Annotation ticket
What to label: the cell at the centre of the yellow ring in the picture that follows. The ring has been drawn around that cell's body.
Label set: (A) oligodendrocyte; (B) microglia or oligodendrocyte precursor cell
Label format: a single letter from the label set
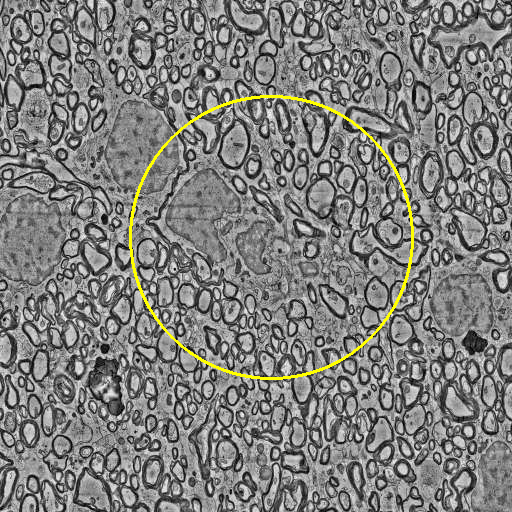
A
